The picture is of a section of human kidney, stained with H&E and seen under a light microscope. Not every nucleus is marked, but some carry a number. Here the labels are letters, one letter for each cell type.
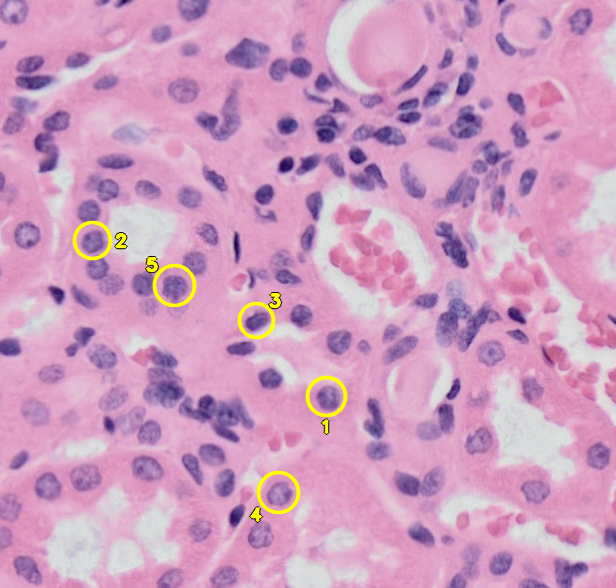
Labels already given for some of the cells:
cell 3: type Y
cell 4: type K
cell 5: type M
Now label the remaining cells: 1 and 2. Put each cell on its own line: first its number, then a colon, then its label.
1: type Y
2: type M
